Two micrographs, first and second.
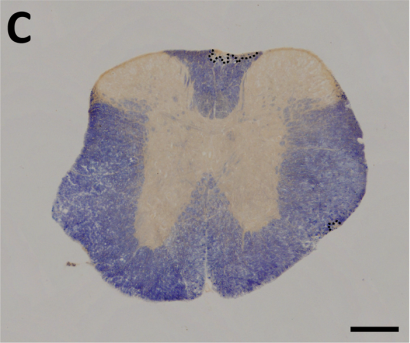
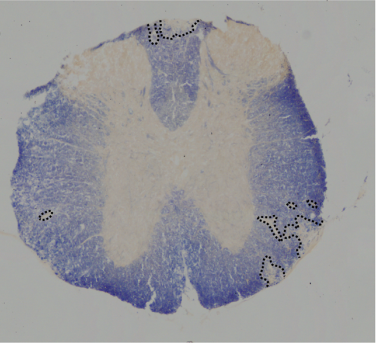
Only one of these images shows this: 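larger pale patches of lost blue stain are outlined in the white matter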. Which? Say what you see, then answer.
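Second image: several larger outlined pale patches, dorsal and ventrolateral. So: the second image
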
